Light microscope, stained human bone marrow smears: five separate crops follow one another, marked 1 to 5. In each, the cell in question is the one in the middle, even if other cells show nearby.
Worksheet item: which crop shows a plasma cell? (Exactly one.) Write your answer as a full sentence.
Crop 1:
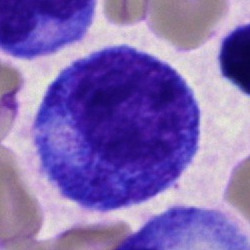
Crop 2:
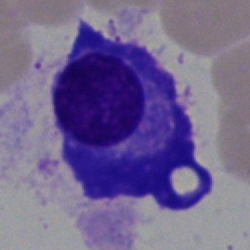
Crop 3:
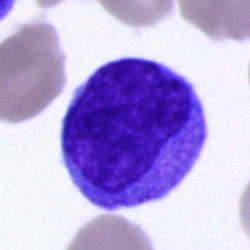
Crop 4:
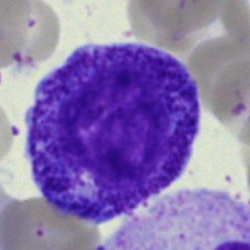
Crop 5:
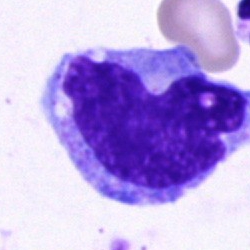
Crop 2 is the single crop that shows a plasma cell.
